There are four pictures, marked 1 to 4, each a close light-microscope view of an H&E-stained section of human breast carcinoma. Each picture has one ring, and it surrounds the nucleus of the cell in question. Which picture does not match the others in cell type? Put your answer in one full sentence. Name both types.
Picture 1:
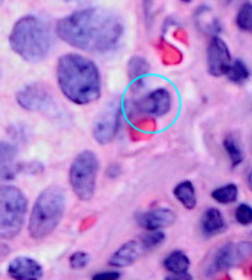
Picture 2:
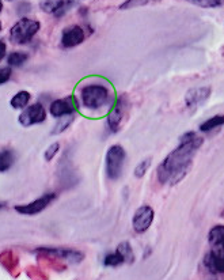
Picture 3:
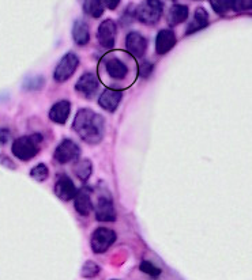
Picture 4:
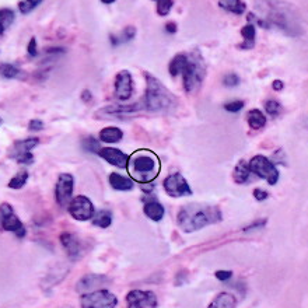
Picture 1 differs, because its cell is an endothelial cell and the rest are lymphocytes.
